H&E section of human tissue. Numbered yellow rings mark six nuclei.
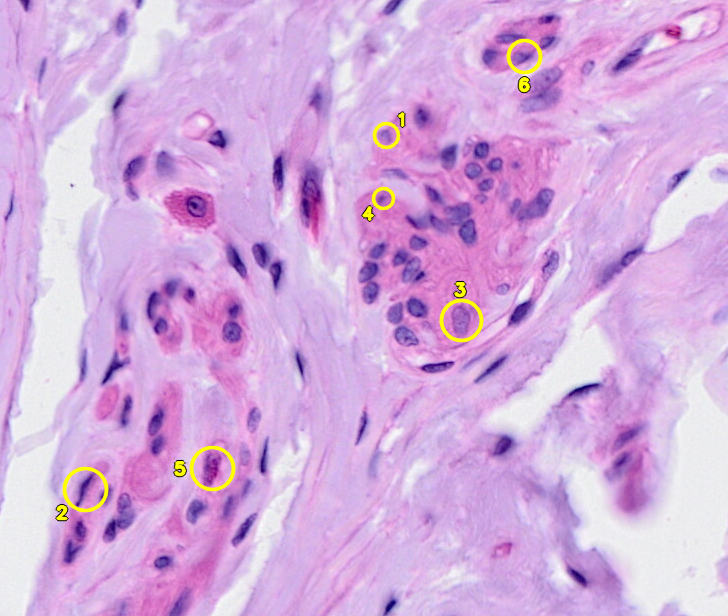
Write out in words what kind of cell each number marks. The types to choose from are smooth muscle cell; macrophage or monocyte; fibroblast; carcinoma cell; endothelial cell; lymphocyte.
Cells 1, 3, 4 and 6 are smooth muscle cells. Cells 2 and 5 are endothelial cells.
